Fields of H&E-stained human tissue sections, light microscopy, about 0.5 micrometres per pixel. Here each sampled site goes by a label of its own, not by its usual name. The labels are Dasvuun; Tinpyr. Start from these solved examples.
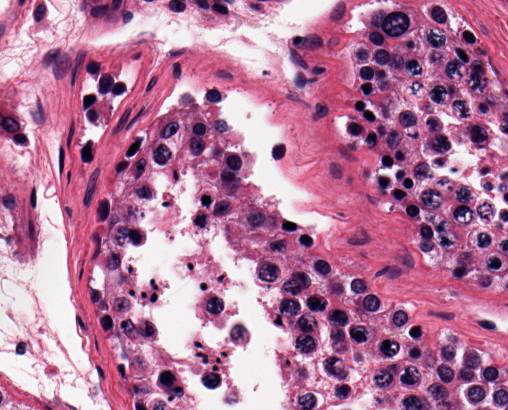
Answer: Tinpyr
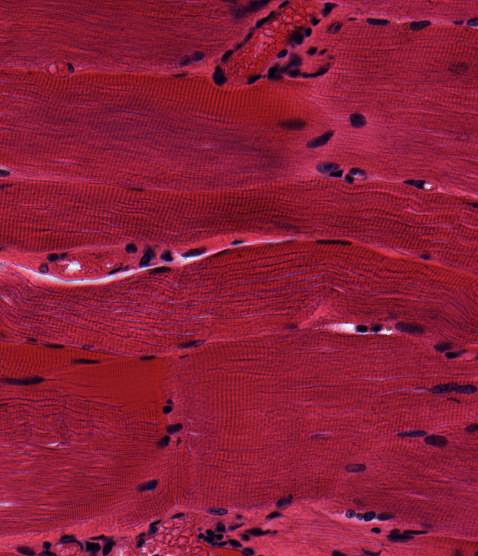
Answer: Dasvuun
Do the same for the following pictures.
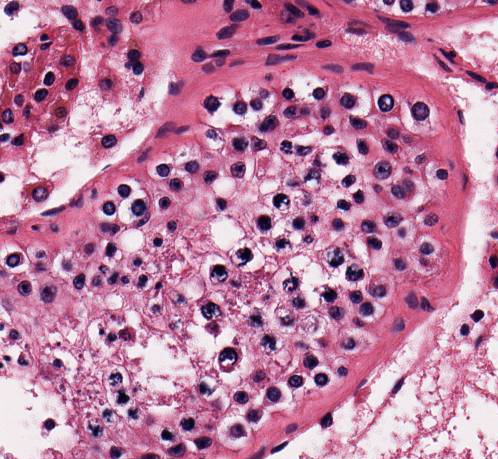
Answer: Tinpyr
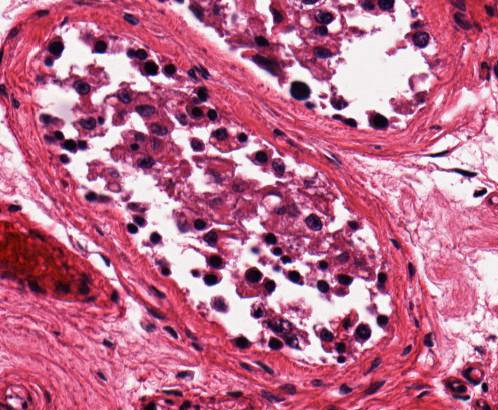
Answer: Tinpyr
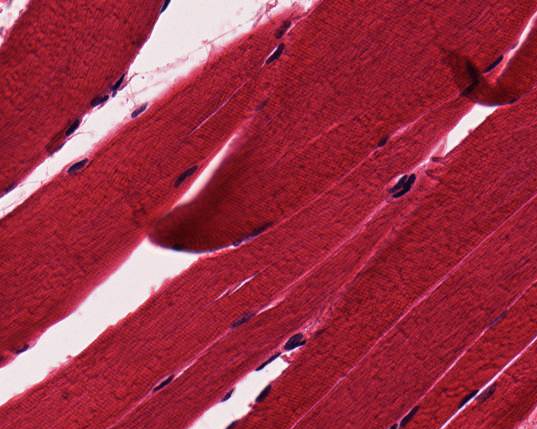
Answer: Dasvuun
